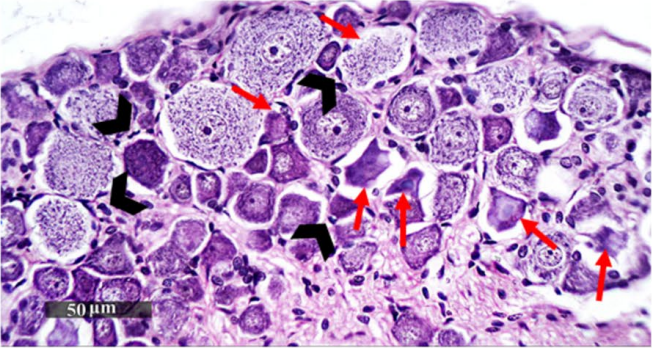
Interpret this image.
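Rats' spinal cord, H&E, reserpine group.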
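This section shows neuronal cell bodies of varied size, some large with pale granular cytoplasm and central nuclei. Several other neurons are shrunken, angular and deeply stained purple, with clear spaces around them. Clusters of small cells with dark round nuclei lie between the neurons, and the rim of satellite cells around some neurons appears sparse.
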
